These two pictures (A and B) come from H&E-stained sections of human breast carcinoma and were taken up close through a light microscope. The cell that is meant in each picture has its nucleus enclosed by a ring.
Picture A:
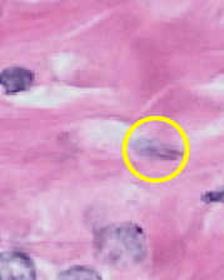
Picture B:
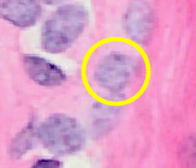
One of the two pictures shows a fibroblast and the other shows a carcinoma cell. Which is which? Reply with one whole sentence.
It is picture A that shows a fibroblast, and picture B that shows a carcinoma cell.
